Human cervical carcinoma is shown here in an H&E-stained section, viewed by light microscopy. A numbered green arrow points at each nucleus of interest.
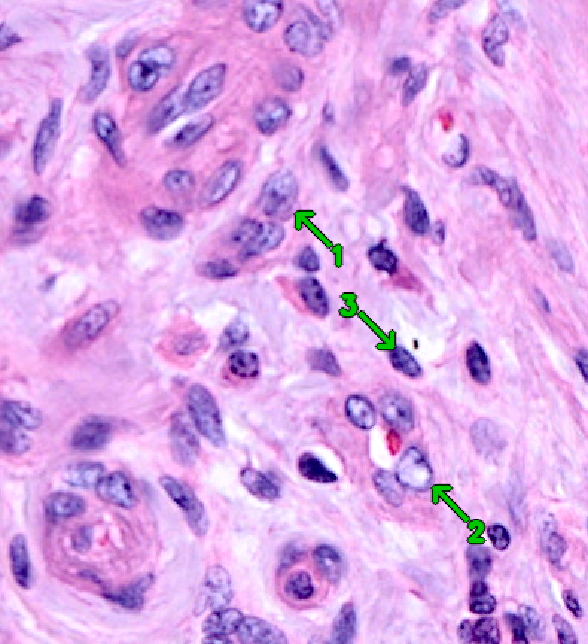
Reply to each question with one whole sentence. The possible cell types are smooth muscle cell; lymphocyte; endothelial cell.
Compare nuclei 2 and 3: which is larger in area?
Nucleus 2 is larger, with an area about 1.5 times that of nucleus 3.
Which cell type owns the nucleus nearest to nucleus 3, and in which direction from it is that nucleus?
Lying below nucleus 3, the nearest nucleus is that of an endothelial cell.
